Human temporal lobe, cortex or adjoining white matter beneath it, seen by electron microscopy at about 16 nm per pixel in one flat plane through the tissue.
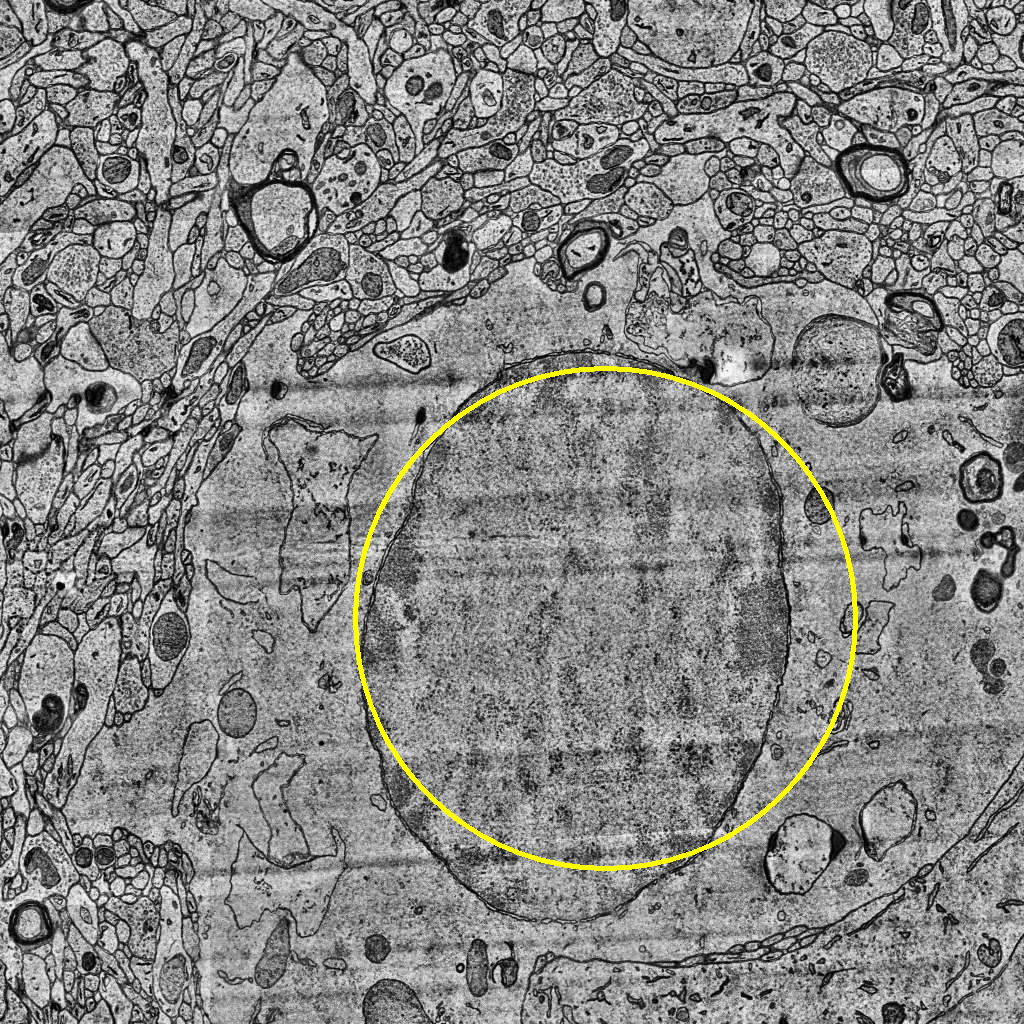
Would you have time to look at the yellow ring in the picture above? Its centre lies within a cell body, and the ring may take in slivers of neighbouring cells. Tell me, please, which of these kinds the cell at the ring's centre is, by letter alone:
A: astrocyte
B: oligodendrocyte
A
